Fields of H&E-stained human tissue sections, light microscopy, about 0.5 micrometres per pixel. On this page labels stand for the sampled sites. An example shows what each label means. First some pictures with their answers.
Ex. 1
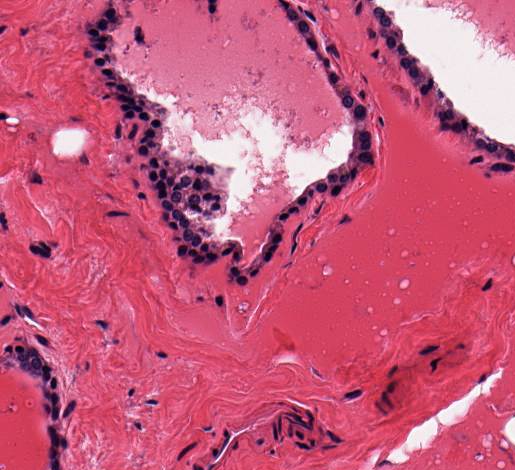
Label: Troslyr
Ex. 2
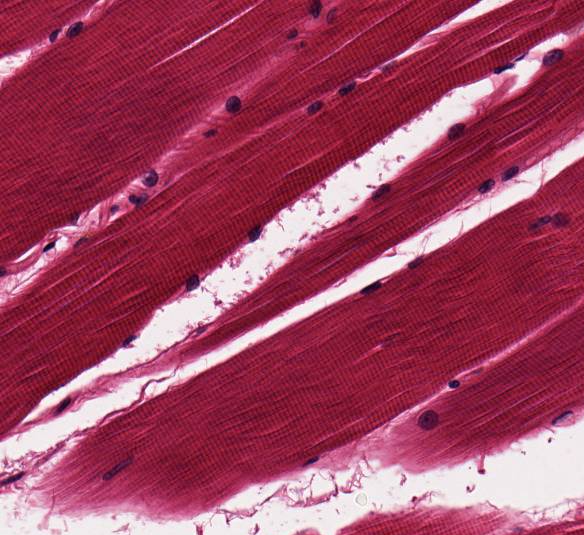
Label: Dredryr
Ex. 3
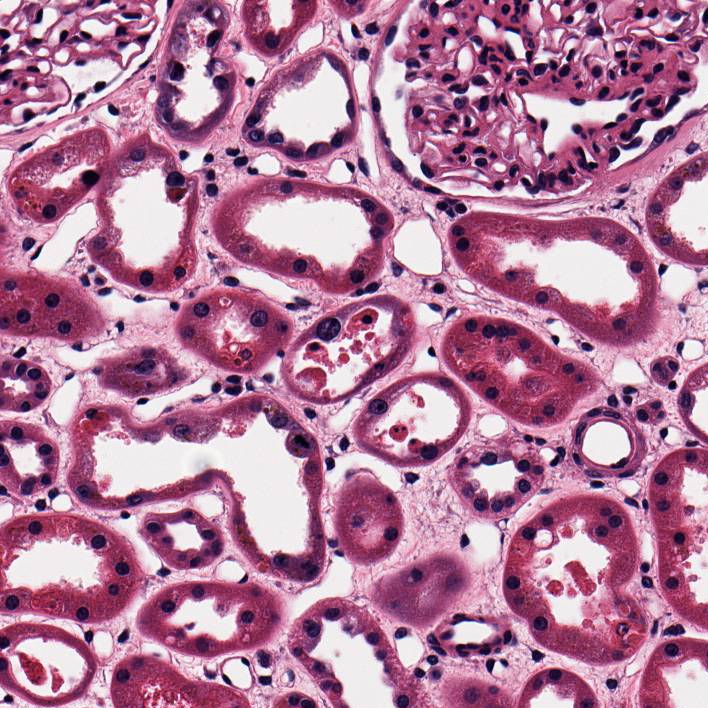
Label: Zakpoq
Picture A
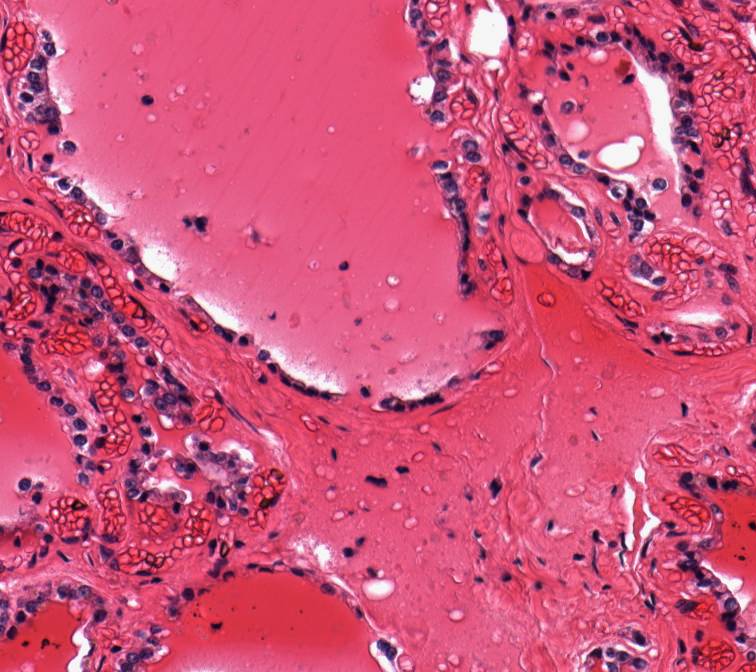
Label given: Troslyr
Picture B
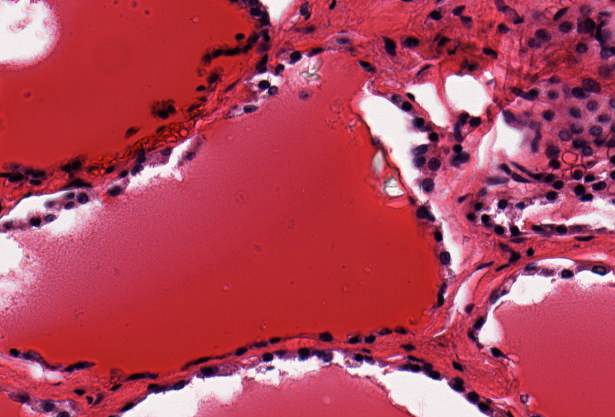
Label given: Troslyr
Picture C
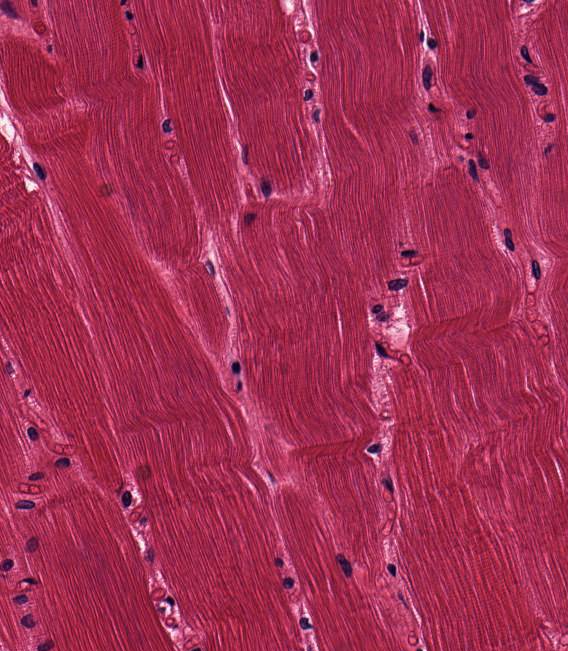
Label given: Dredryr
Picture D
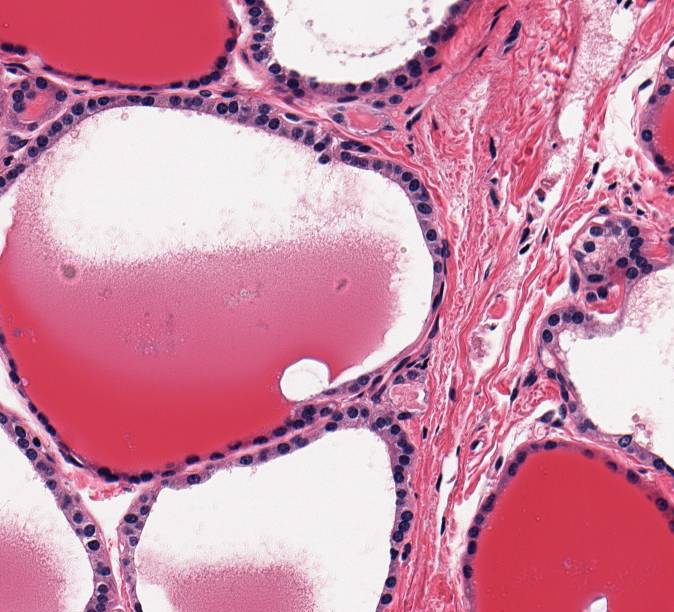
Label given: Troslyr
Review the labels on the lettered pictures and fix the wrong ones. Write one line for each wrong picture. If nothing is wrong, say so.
All labels are correct.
